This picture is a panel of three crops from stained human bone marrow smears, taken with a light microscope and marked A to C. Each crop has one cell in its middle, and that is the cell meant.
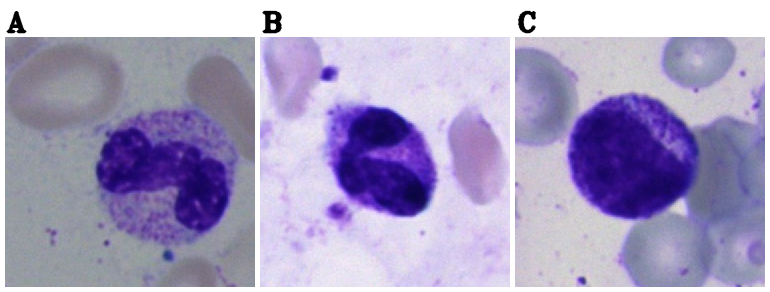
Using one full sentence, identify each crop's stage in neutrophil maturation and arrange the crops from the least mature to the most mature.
Starting with the least mature and ending with the most mature, the order is crop C (a metamyelocyte), crop A (a band neutrophil) and crop B (a segmented neutrophil).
